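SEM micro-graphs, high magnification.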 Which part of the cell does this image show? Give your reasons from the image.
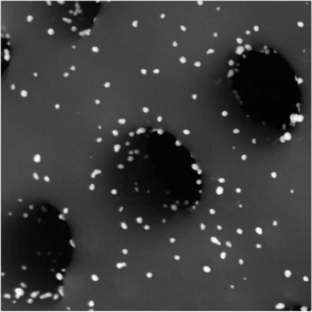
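Round dark holes in a smooth grey surface. Holes are several times larger than the bright specks around them. So: pores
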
